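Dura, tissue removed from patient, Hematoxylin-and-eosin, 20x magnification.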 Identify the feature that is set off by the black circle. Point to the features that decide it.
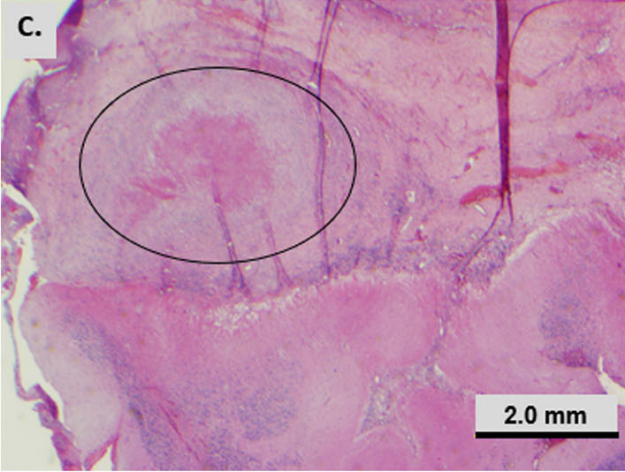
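The circle encloses a rounded nodular lesion. It has a pink central zone surrounded by a paler, more cellular purple rim.
Answer: granuloma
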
